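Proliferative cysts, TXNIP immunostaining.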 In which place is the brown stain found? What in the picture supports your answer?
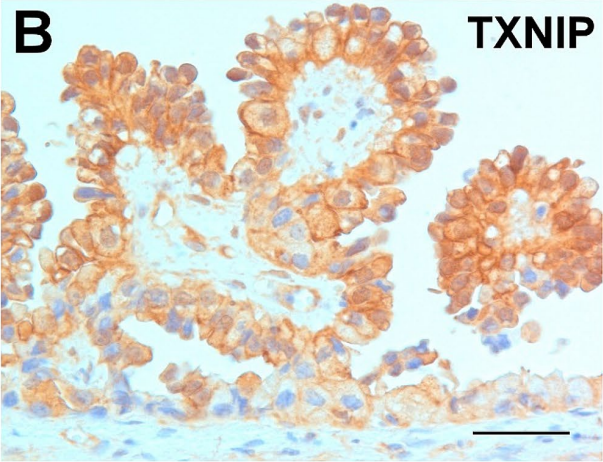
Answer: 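Brown stain fills the cell bodies and outlines cell borders. That points to this answer: cytoplasmic and membranous.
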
